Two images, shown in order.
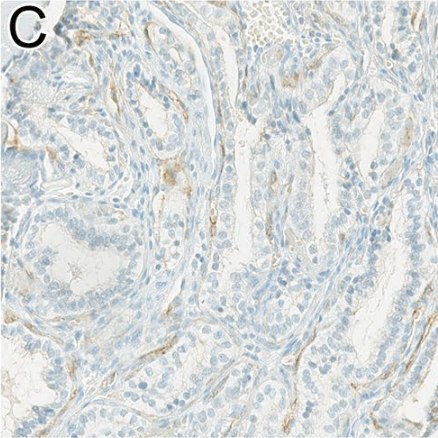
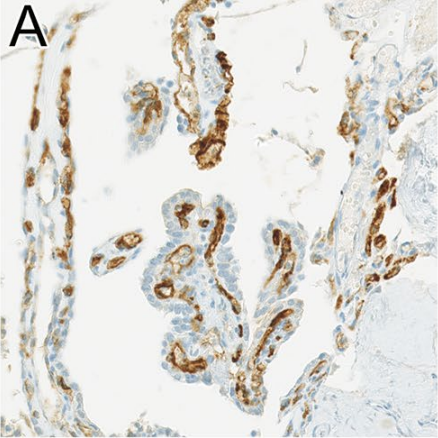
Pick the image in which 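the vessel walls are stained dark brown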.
The second image.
